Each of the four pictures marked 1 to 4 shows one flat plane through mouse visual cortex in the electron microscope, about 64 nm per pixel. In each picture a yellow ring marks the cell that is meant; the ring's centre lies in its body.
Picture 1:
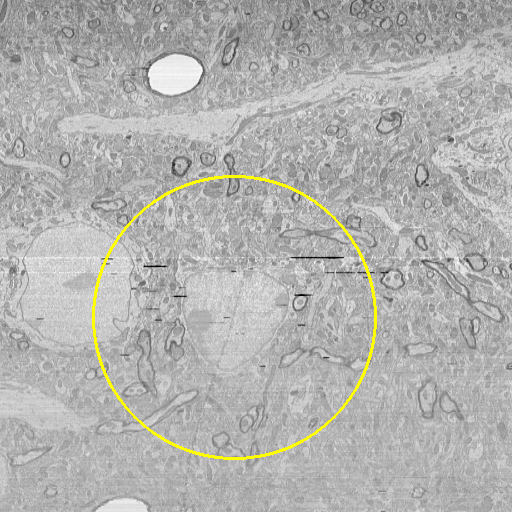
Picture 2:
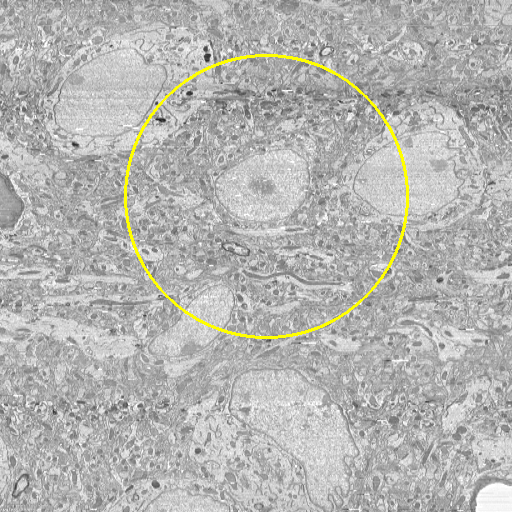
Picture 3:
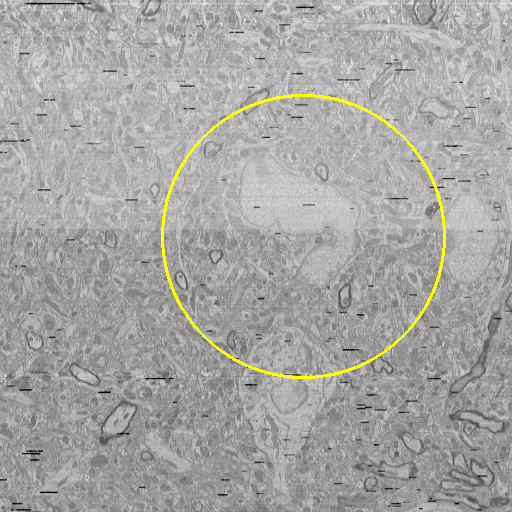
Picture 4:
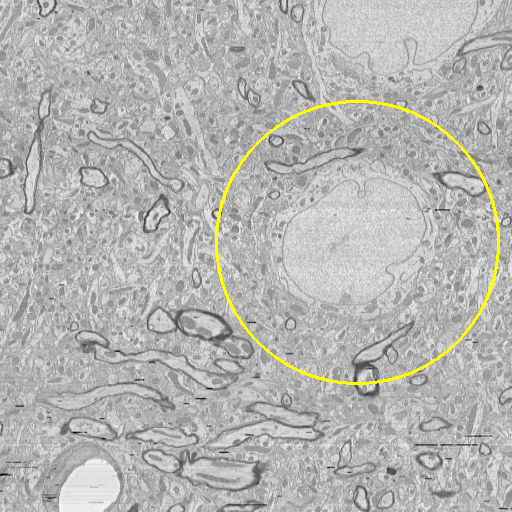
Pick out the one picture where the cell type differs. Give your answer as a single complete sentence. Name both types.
Picture 4 differs, because its cell is an excitatory neuron and the rest are astrocytes.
